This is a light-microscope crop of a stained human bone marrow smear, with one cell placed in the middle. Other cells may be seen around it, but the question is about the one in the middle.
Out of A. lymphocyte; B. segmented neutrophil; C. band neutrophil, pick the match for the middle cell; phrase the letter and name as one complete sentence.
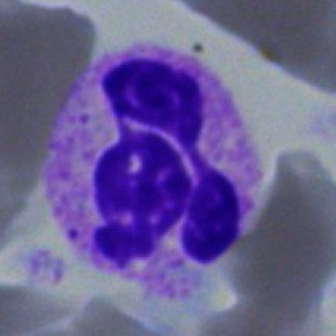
Option B is right, the centrally situated cell being a segmented neutrophil.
